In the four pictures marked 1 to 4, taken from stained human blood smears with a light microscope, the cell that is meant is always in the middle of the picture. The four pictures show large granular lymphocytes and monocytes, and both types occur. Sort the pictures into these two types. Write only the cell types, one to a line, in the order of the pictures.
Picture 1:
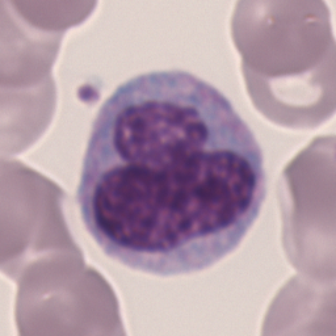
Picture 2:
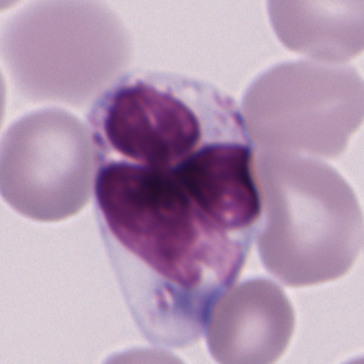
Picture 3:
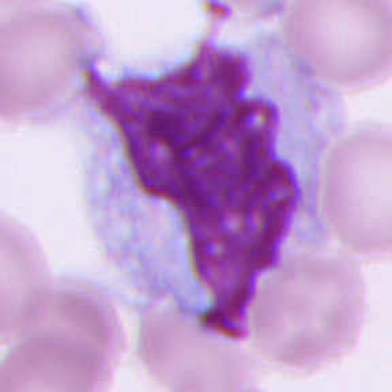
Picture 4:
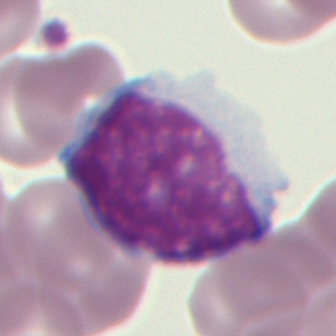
monocyte
large granular lymphocyte
monocyte
monocyte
